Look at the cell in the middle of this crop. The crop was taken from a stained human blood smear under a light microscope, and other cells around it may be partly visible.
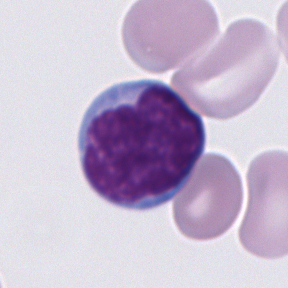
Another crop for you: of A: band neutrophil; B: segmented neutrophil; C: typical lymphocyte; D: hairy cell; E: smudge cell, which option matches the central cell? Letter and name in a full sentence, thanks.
The cell at the centre is a typical lymphocyte, and option C accordingly is correct.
